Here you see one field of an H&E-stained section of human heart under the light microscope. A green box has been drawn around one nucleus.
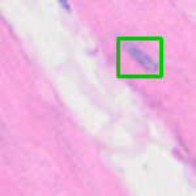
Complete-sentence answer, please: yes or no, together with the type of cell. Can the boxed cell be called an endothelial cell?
No, the boxed cell is a cardiomyocyte; it is not an endothelial cell.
